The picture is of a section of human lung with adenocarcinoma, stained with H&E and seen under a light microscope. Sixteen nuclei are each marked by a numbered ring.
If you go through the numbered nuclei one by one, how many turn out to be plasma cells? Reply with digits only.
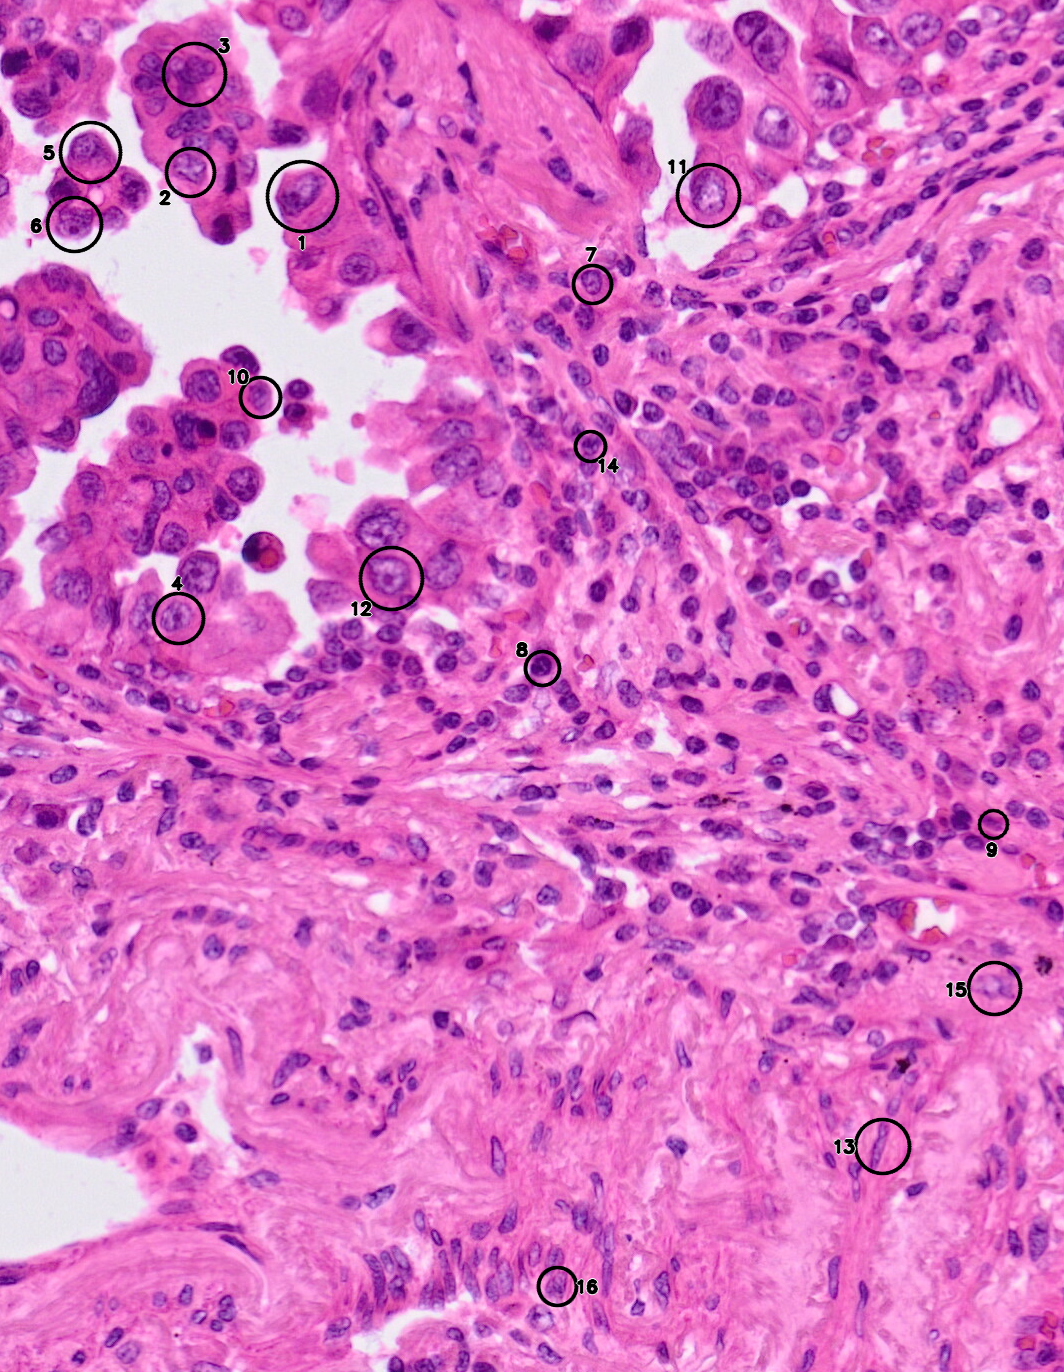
3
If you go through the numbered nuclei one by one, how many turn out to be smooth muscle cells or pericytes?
2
